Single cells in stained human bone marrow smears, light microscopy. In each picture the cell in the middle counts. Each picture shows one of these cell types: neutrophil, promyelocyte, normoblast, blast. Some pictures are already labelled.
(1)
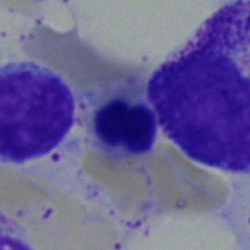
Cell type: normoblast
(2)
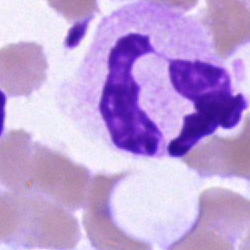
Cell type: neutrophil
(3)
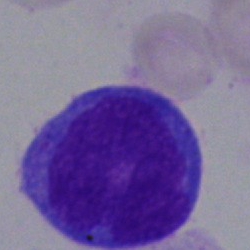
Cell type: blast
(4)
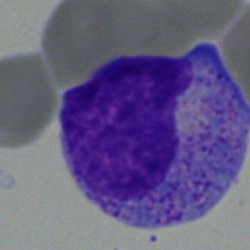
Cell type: promyelocyte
